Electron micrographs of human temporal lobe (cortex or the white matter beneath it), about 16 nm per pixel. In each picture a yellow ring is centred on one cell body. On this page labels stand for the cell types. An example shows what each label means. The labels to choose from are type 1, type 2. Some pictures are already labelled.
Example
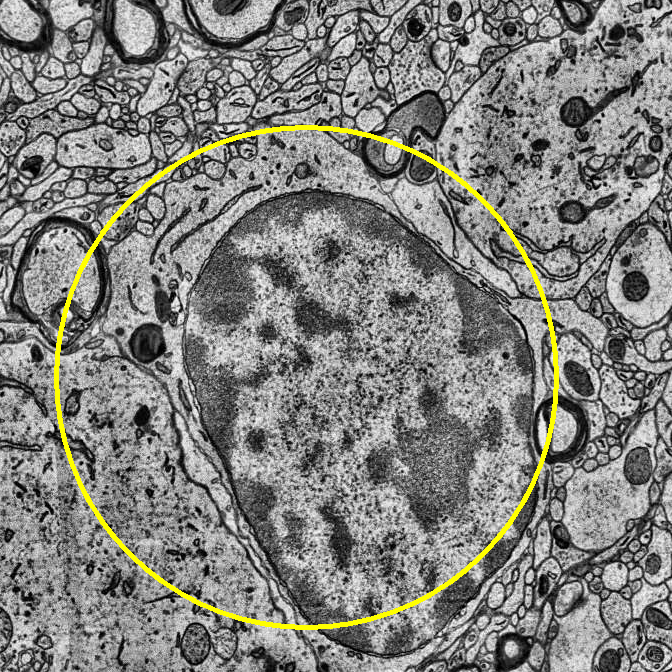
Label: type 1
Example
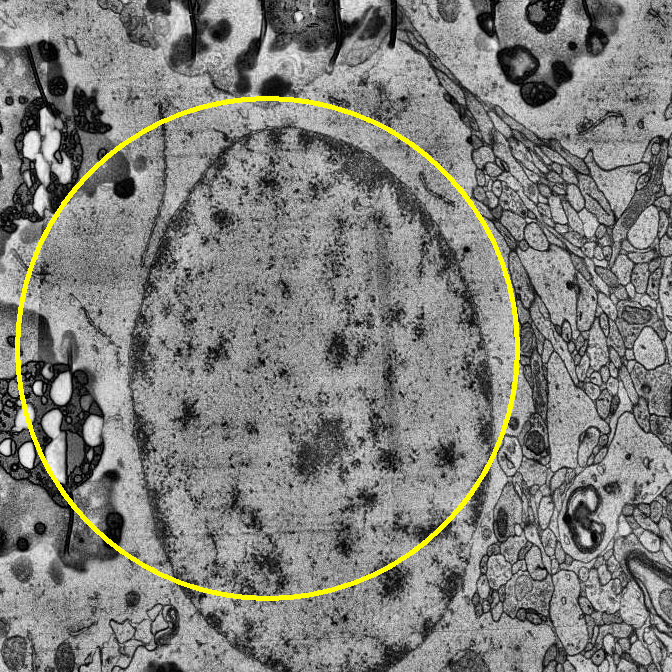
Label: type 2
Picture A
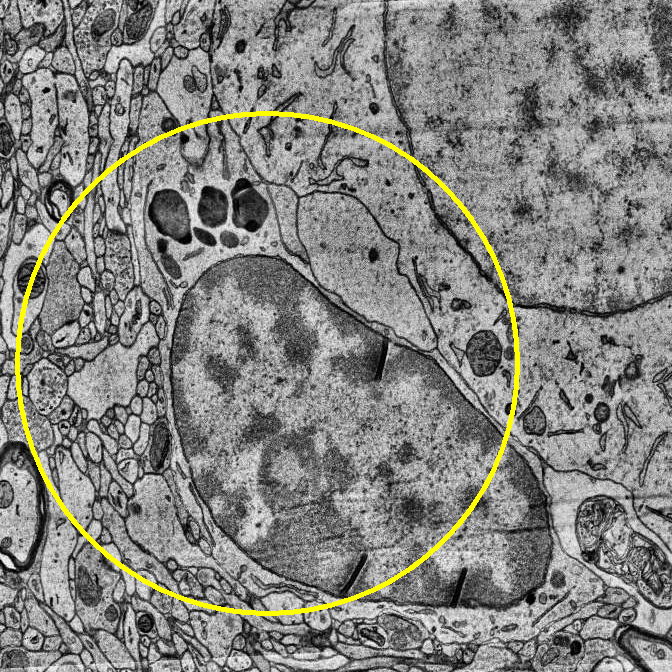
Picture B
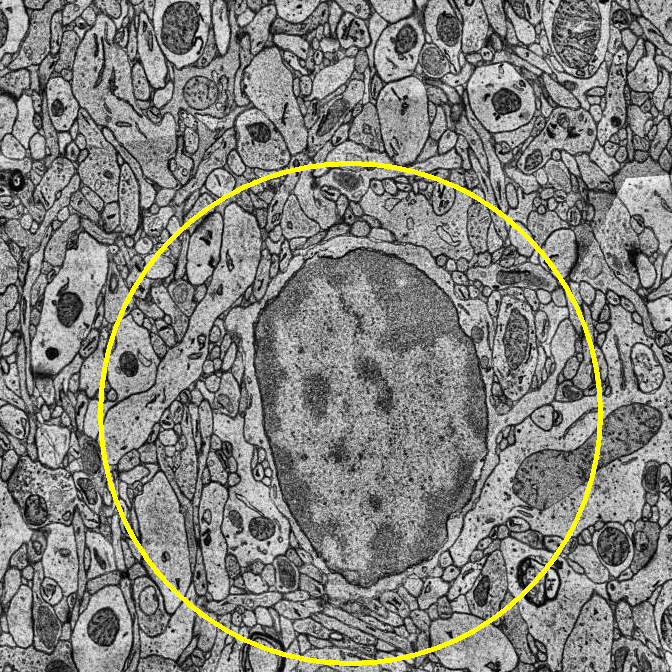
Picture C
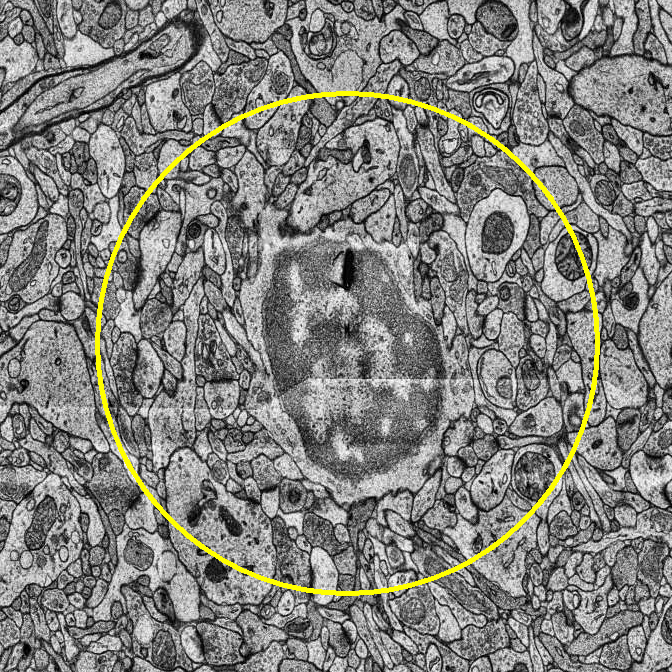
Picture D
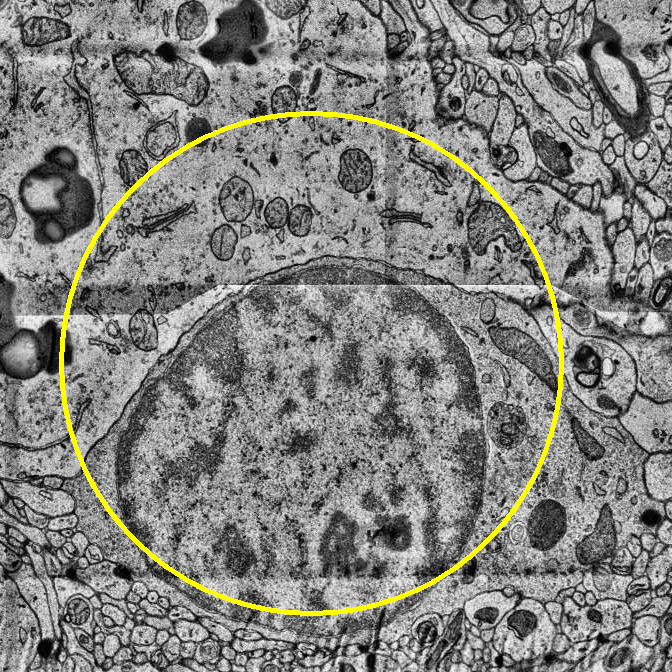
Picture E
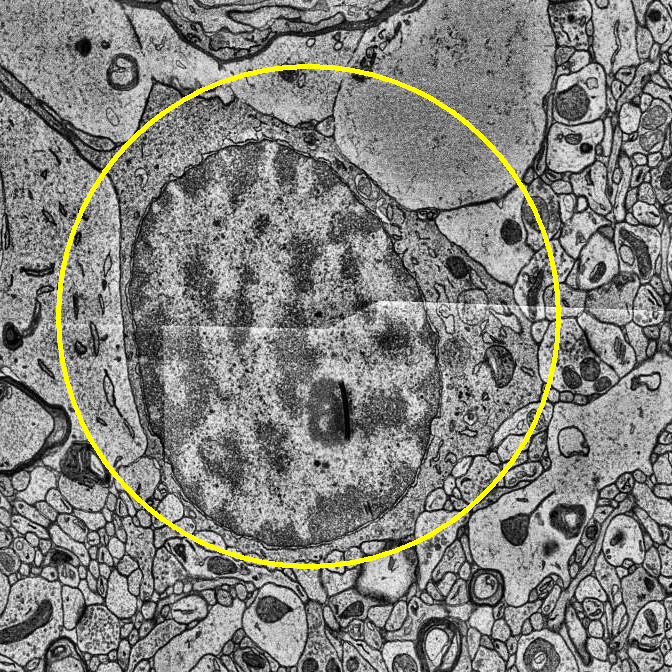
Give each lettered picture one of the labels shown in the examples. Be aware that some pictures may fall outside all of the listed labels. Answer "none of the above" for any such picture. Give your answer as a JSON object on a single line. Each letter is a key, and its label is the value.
{"A": "type 1", "B": "type 1", "C": "type 1", "D": "none of the above", "E": "none of the above"}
